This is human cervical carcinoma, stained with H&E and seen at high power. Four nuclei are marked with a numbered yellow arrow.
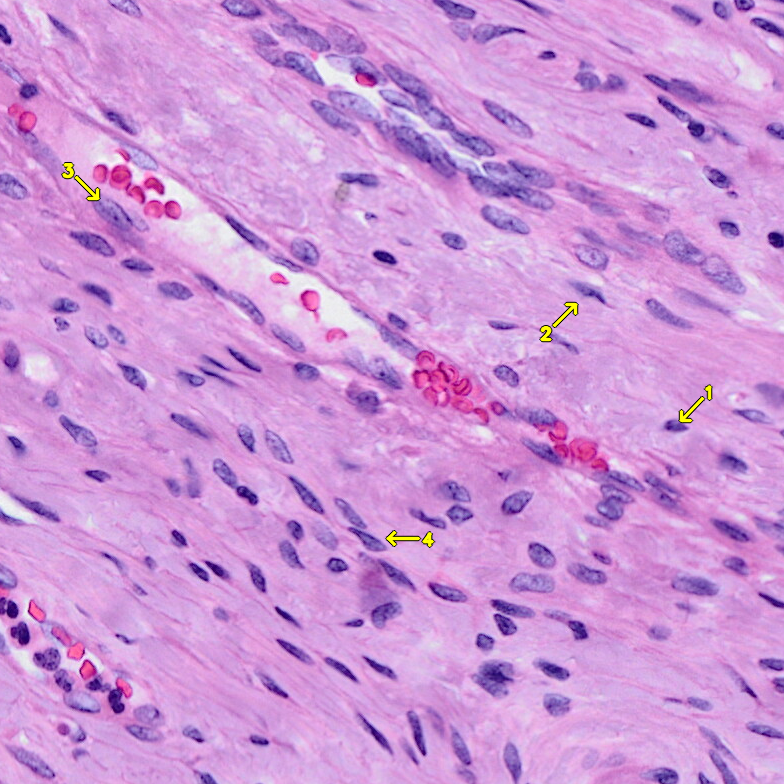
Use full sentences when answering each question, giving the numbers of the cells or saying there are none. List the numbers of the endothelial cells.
Among the numbered cells, the one that is an endothelial cell is cell 3 alone.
